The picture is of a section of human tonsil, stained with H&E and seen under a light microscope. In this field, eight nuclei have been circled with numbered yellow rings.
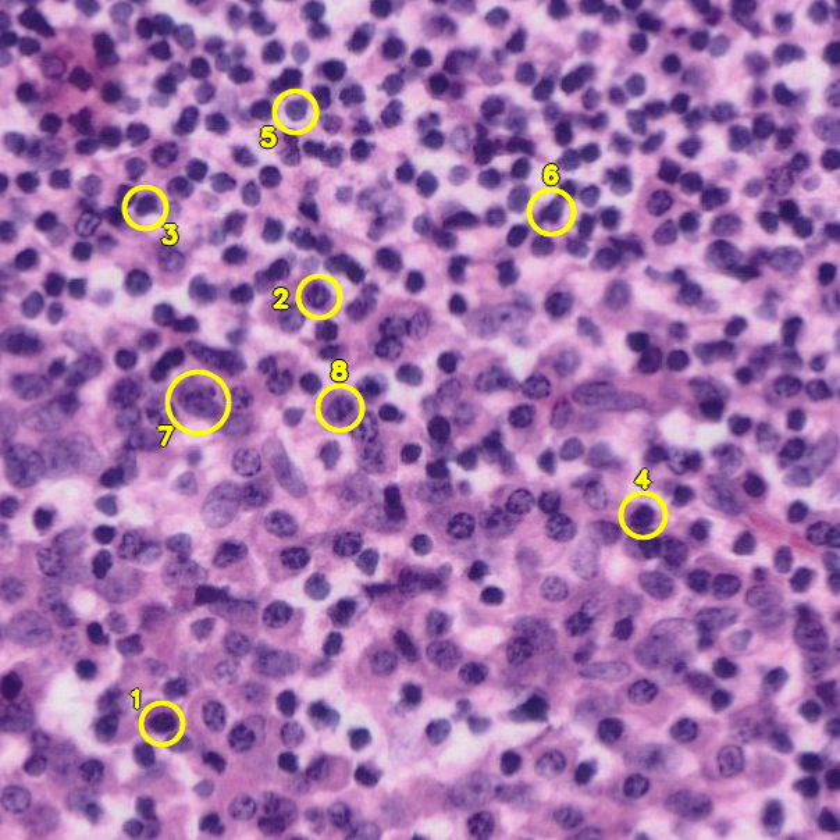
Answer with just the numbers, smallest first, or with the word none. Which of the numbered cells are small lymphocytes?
3, 5, 6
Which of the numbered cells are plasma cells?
1, 2, 4, 8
